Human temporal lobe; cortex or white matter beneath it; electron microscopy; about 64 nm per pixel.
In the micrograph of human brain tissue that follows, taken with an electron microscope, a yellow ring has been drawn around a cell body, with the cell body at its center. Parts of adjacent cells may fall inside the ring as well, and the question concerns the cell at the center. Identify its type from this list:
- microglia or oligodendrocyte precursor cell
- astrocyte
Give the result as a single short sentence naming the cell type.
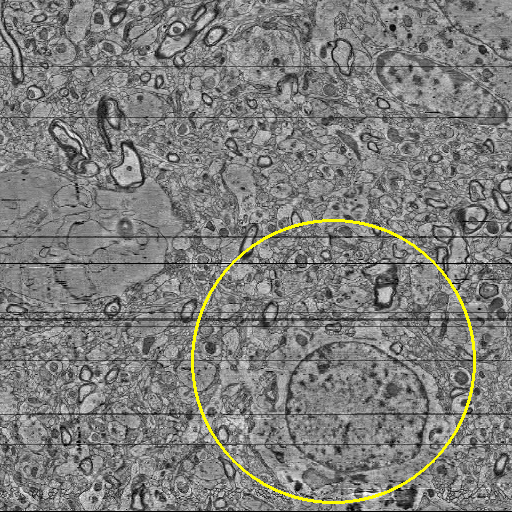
The ring is centered on an astrocyte.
